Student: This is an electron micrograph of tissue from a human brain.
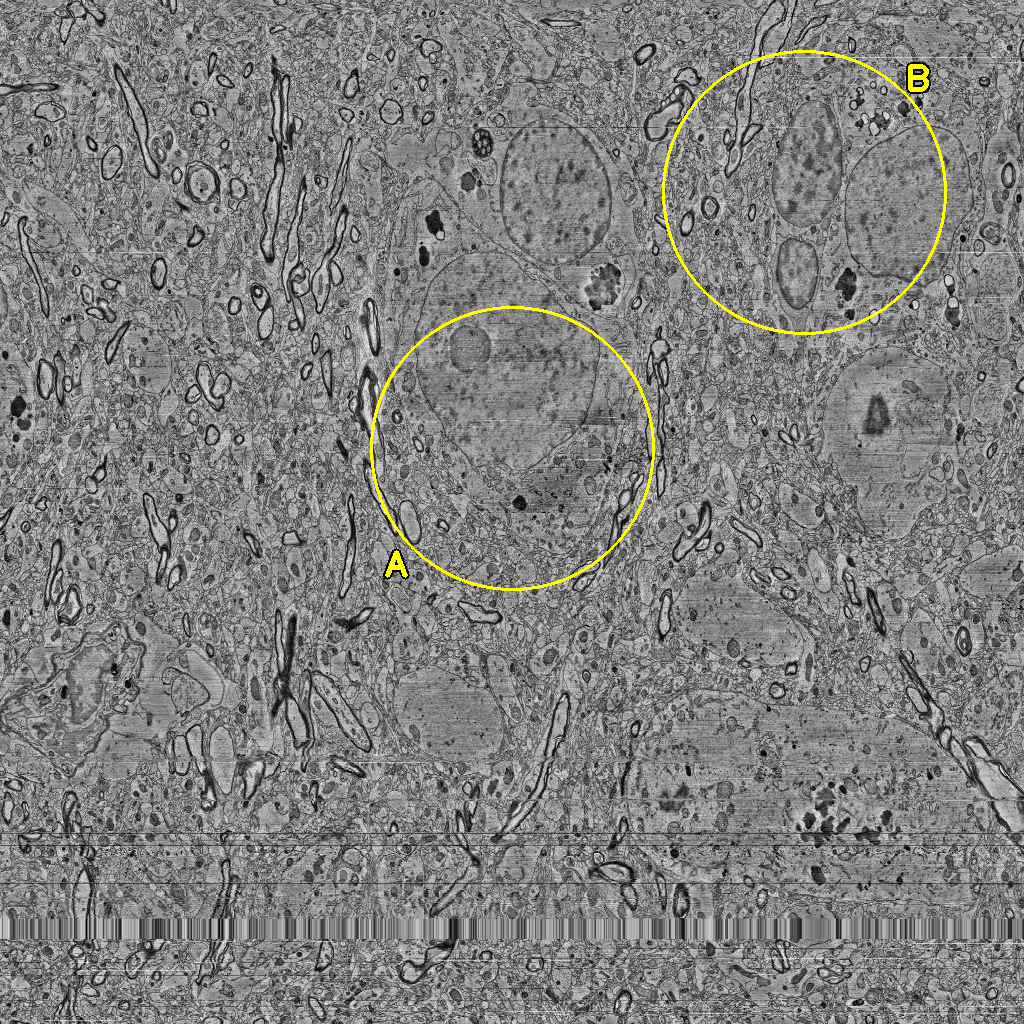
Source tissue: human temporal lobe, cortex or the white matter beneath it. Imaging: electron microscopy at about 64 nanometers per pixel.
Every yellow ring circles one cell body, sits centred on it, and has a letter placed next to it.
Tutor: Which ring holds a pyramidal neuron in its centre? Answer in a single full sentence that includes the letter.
Ring A is the ring whose centre holds the cell asked for in the picture.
